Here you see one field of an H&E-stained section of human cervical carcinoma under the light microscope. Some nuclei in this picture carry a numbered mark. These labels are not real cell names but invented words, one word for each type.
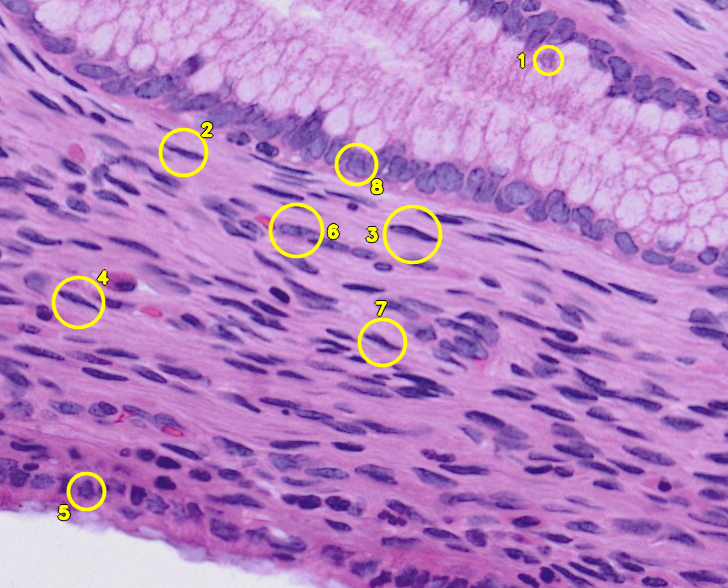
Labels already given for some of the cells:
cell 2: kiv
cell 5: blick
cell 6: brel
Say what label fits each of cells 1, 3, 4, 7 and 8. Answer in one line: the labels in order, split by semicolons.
blick; kiv; kiv; kiv; blick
